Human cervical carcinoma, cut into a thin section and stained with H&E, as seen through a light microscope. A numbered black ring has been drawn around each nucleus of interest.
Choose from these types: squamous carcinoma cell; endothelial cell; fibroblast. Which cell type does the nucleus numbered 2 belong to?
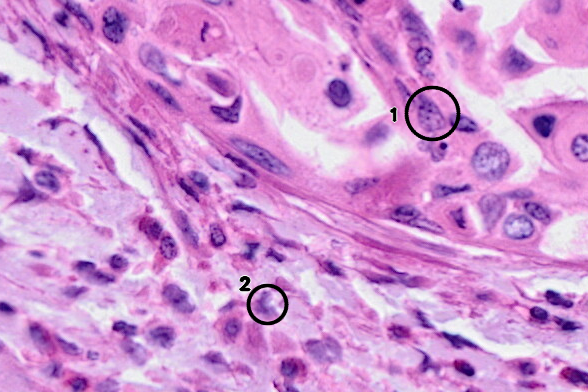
fibroblast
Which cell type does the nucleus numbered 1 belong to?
squamous carcinoma cell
